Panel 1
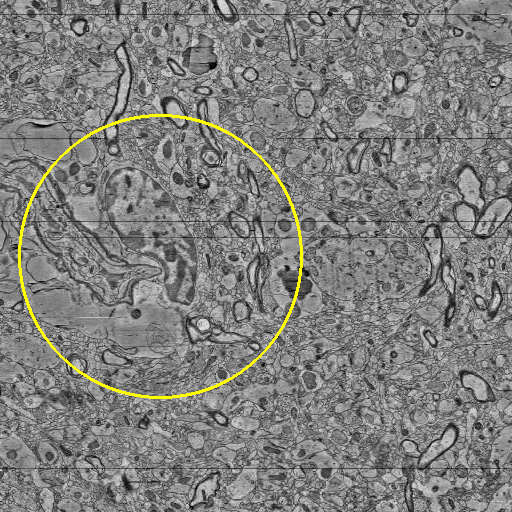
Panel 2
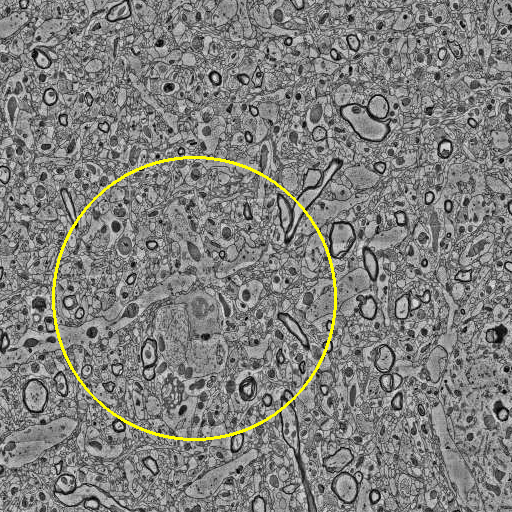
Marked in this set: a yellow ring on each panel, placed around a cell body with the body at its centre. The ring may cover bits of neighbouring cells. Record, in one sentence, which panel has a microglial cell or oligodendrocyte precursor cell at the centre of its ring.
Panel 1 has it at the centre of its ring.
